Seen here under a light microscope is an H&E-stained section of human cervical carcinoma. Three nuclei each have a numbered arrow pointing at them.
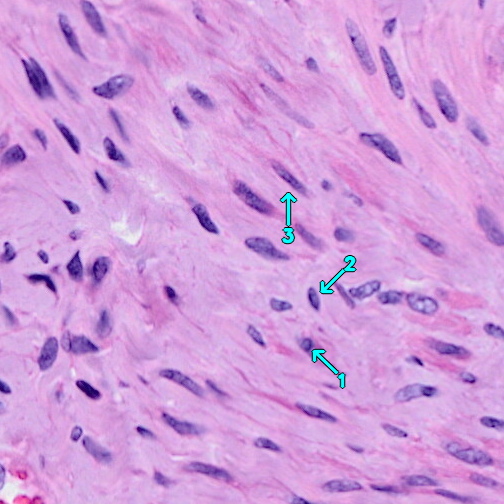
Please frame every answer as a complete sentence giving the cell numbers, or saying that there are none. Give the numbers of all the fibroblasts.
Only the cell with number 2 is a fibroblast.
